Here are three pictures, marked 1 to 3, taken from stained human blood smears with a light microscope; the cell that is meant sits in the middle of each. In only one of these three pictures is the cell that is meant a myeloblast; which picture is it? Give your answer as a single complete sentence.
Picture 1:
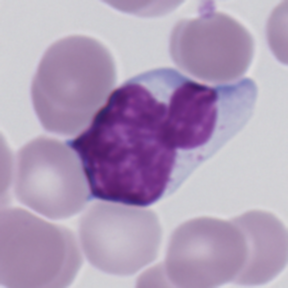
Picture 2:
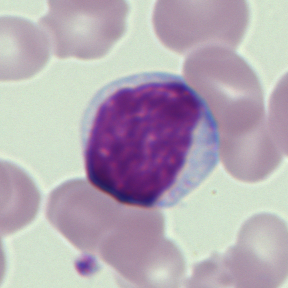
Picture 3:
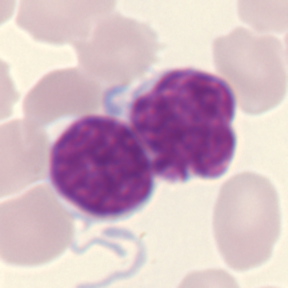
Picture 3 is the one that shows the myeloblast.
